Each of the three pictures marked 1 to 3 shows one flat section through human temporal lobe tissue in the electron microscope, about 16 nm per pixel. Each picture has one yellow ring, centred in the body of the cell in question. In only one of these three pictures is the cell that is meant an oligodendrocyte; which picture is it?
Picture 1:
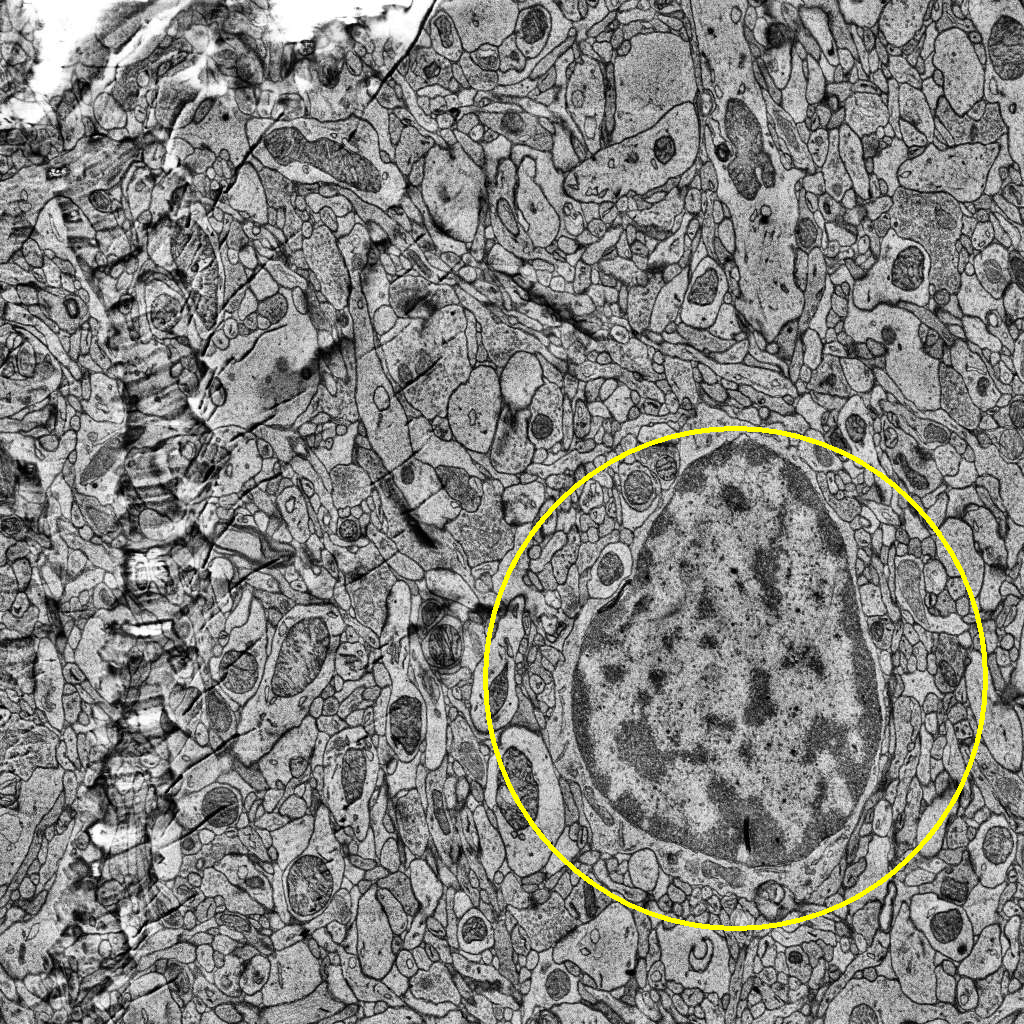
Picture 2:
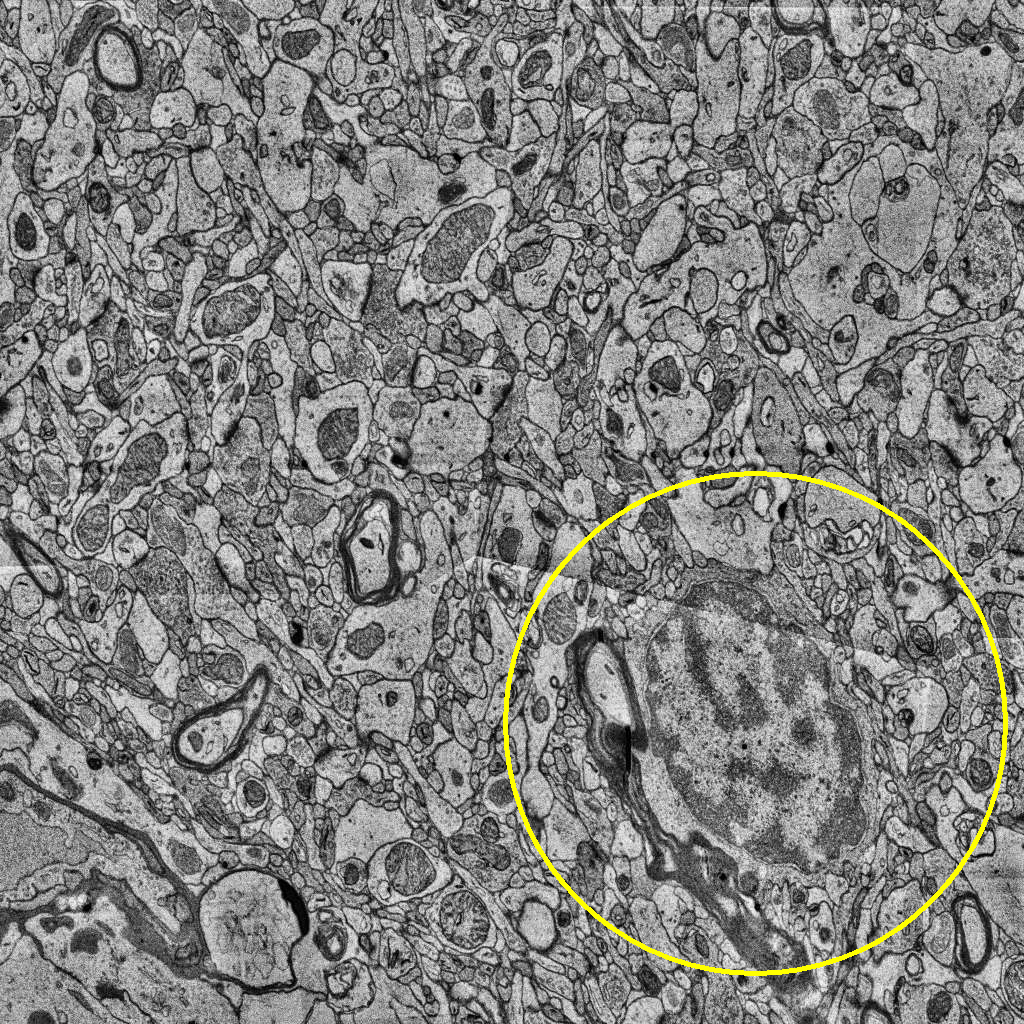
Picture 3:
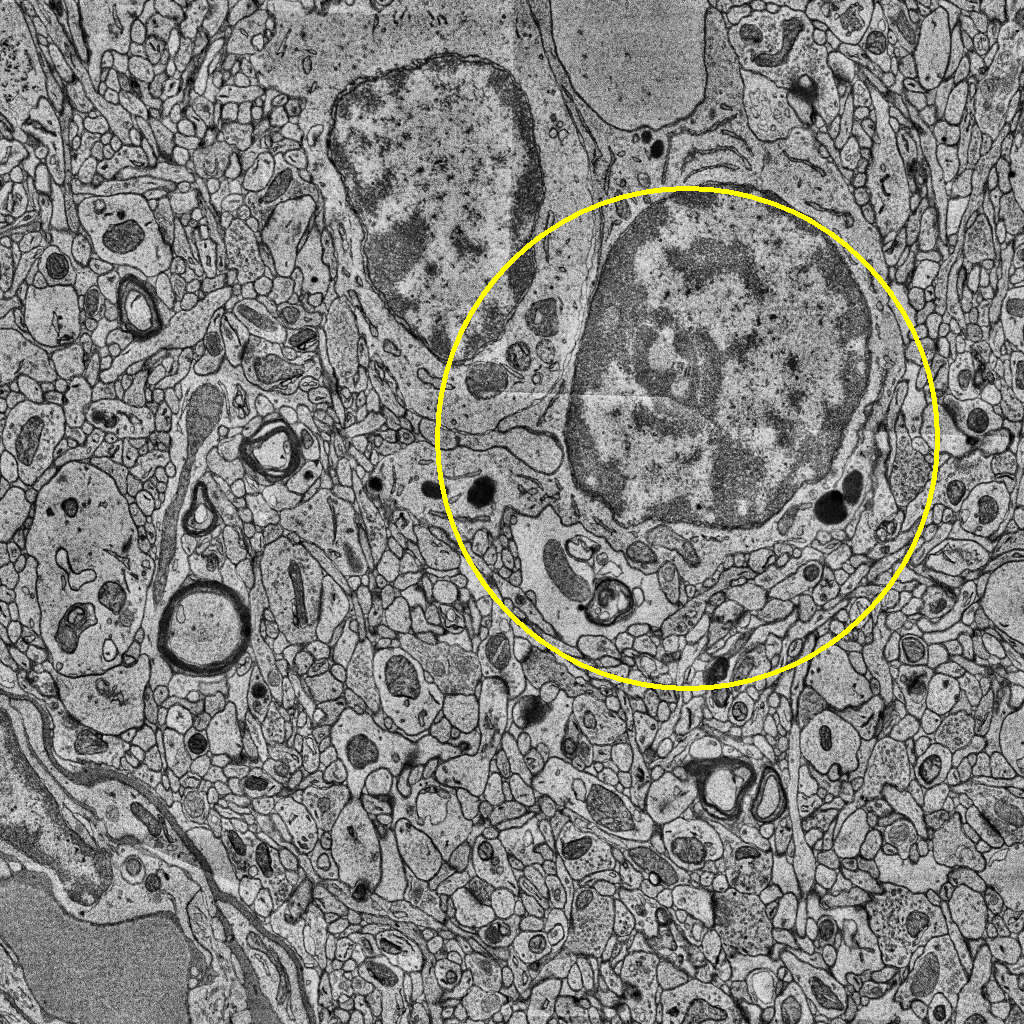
The picture with the oligodendrocyte is 2.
